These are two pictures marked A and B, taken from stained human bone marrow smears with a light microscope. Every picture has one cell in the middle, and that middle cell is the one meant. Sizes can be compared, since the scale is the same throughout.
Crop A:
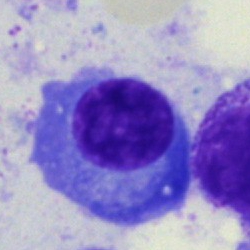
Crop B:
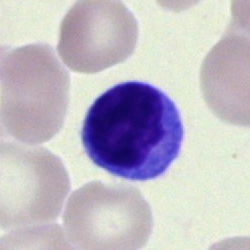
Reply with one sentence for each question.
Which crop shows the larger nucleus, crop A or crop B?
It is the nucleus in crop A, about 1.5 times as large in area as the one in crop B.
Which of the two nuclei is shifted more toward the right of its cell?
It is the nucleus in crop A that lies further toward the right of its cell.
